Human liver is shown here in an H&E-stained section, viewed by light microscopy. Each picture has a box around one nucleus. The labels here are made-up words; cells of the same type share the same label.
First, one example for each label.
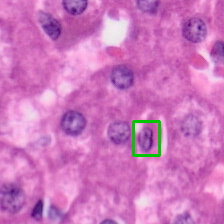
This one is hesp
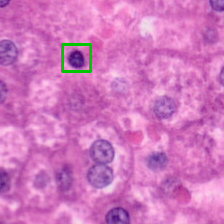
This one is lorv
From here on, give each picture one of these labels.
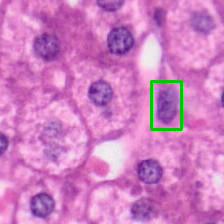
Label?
hesp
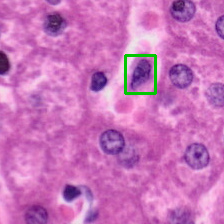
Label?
hesp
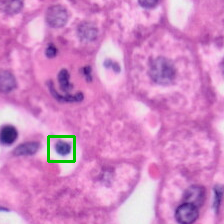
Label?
lorv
